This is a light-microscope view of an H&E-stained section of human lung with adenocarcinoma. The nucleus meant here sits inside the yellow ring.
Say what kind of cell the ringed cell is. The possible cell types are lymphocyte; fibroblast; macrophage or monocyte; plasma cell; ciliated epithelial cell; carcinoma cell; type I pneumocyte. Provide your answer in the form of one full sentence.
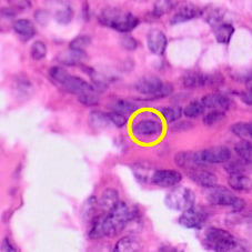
The category to which the ringed cell belongs is that of a ciliated epithelial cell.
